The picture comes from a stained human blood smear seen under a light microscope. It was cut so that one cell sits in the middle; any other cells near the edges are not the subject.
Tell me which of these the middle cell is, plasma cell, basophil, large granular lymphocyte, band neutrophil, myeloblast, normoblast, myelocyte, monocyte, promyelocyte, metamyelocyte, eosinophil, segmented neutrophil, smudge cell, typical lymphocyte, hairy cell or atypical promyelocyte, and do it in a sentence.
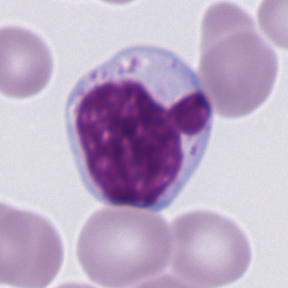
The cell nearest the centre of this crop is a large granular lymphocyte.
